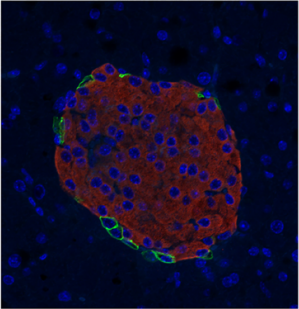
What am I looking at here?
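Pancreatic islet whose core is filled with β cells with red cytoplasm and round blue nuclei. A thin mantle of cells at the islet edge lacks red and is outlined by green membrane signal, while the surrounding exocrine tissue shows only blue nuclei.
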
